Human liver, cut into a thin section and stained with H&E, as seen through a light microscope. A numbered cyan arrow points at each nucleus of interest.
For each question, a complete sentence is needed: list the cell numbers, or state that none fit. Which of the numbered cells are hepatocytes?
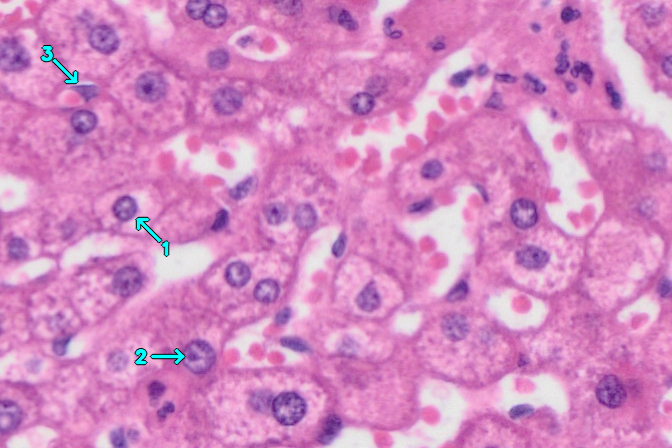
When it comes to cells 1 and 2, they are hepatocytes.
